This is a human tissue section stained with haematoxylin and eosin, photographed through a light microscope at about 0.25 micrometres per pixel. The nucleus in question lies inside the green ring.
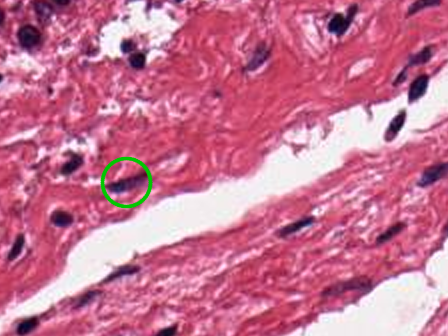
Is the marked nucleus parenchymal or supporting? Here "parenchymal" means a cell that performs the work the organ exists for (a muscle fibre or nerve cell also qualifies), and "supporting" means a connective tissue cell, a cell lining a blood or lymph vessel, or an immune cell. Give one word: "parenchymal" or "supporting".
supporting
